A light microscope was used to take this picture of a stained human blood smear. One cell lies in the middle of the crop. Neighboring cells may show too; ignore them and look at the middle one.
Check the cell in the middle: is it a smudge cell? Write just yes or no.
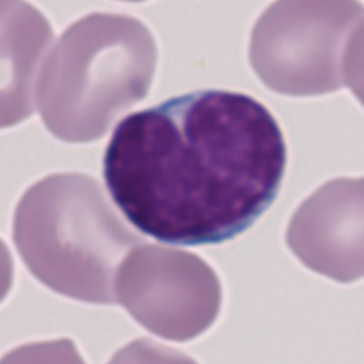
no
